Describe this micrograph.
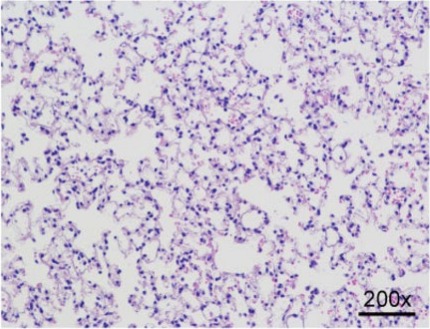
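Lung parenchyma with thin pink alveolar septa enclosing many open, irregular air spaces. Small dark purple nuclei are scattered along the septa, which form a delicate lace-like network.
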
